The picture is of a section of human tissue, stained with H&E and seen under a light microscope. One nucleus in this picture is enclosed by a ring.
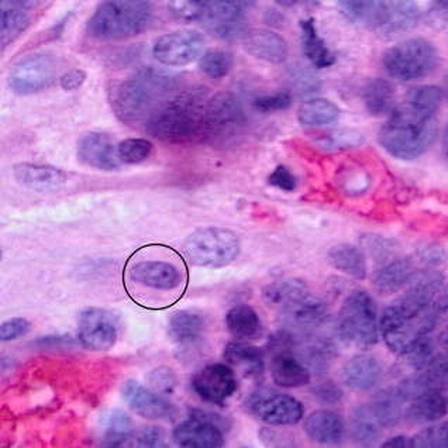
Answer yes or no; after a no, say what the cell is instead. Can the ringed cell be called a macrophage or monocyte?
Yes.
